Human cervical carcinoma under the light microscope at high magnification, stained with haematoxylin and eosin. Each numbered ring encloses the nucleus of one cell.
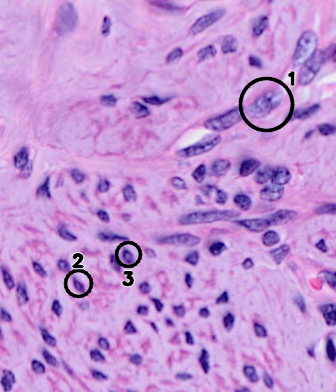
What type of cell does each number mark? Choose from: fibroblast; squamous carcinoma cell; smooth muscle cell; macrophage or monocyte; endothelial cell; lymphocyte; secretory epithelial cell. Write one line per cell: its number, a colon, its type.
1: endothelial cell
2: smooth muscle cell
3: smooth muscle cell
